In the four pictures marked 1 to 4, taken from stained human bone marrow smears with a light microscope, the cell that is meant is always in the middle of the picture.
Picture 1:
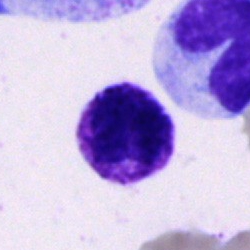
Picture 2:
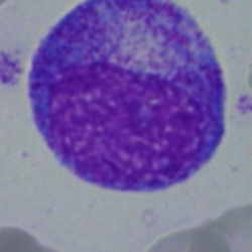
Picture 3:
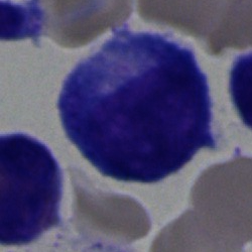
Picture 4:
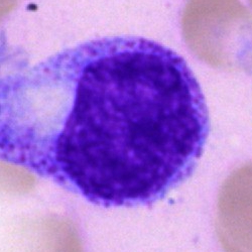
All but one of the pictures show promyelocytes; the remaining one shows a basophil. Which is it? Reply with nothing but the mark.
1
